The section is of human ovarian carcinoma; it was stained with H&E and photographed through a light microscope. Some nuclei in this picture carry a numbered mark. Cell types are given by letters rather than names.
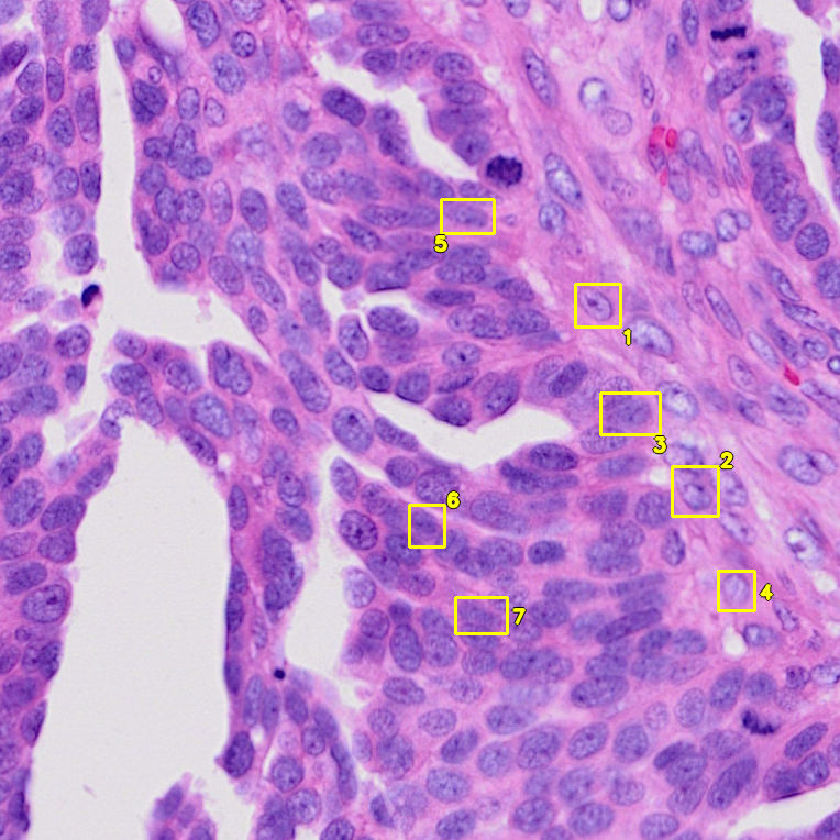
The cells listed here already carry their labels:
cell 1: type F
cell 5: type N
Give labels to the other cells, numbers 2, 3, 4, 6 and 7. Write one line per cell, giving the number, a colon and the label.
2: type F
3: type N
4: type F
6: type N
7: type N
